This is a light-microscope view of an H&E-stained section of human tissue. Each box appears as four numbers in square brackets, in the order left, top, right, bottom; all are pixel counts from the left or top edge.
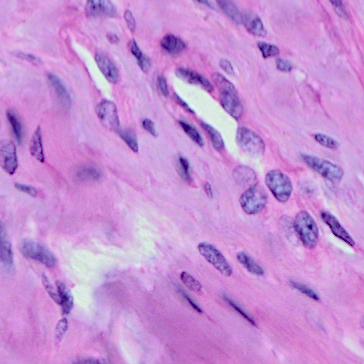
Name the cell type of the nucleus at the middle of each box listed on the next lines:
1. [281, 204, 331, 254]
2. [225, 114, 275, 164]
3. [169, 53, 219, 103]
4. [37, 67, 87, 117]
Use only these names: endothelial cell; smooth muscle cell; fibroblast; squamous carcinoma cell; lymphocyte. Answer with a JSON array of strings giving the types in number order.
["endothelial cell", "endothelial cell", "endothelial cell", "fibroblast"]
